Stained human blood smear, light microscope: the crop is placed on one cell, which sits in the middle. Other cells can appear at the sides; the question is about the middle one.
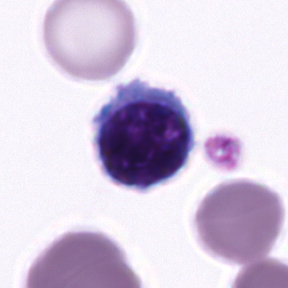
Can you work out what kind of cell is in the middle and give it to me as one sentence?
Looking at the middle of the crop, the cell there is a plasma cell.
